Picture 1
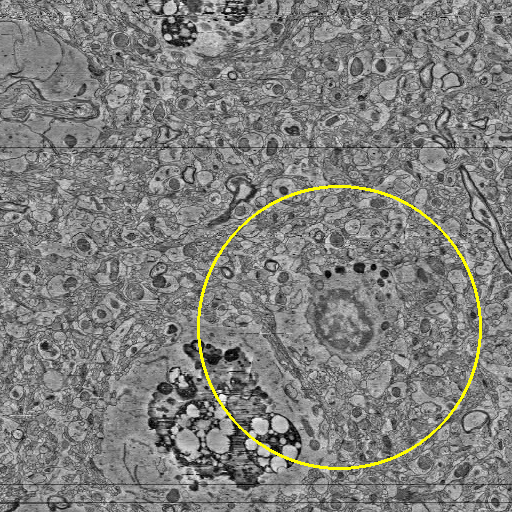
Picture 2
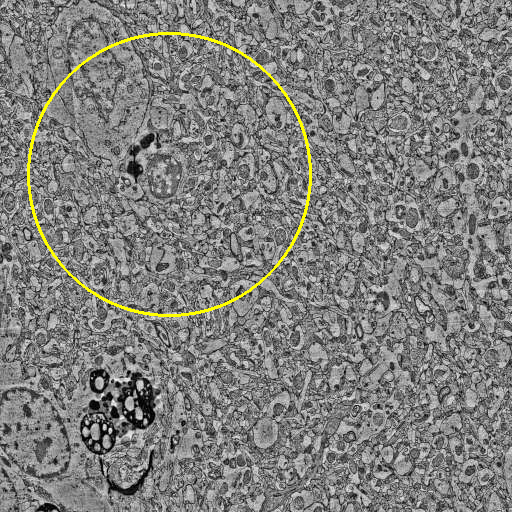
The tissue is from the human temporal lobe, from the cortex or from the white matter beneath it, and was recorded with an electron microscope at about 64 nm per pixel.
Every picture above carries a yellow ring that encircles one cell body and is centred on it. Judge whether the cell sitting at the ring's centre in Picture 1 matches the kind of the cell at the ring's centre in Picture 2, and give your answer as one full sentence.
Yes, the cells centred in the rings of Pictures 1 and 2 belong to one kind.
